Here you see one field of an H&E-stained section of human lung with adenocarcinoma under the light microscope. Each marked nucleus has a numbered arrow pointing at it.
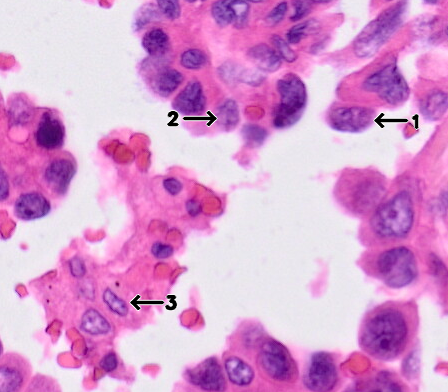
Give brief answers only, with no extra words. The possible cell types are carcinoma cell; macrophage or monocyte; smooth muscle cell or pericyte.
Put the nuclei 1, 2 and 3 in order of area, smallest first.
3, 2, 1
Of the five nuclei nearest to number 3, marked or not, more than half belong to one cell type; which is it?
macrophage or monocyte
